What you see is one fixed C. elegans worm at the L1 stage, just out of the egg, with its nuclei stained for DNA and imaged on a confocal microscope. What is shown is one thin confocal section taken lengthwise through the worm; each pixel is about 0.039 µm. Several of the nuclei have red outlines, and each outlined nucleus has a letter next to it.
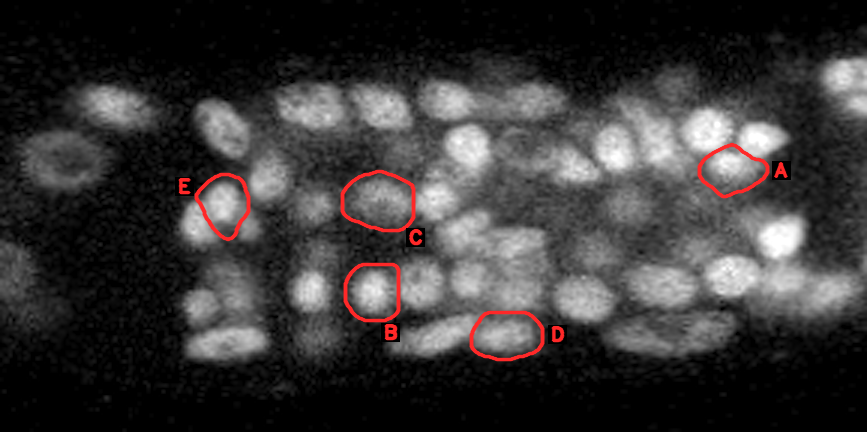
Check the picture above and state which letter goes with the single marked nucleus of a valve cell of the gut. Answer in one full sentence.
The nucleus of a valve cell of the gut is E.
